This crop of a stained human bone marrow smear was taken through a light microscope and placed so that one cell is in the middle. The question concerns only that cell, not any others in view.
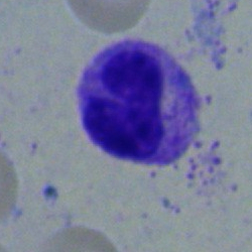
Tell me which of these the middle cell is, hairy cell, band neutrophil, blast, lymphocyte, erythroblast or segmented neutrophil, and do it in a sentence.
This particular crop is centered on a band neutrophil.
